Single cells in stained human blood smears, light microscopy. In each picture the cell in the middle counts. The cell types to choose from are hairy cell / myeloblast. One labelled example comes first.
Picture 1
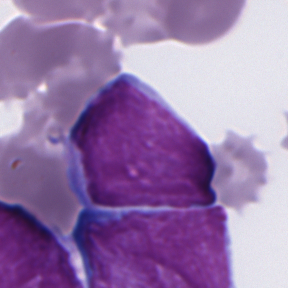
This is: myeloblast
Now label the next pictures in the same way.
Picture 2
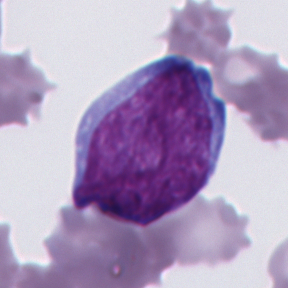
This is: myeloblast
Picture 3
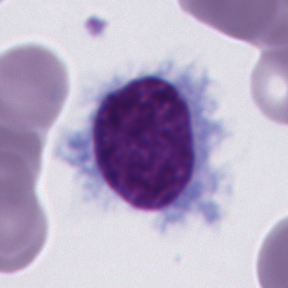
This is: hairy cell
